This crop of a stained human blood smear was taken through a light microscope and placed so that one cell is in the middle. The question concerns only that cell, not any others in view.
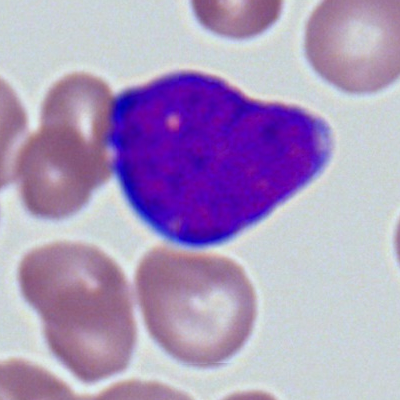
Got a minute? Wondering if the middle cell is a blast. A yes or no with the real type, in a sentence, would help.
Yes, the middle cell in this crop is a blast.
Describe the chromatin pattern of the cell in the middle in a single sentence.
The chromatin here is fine and lacks any coarse clumps.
